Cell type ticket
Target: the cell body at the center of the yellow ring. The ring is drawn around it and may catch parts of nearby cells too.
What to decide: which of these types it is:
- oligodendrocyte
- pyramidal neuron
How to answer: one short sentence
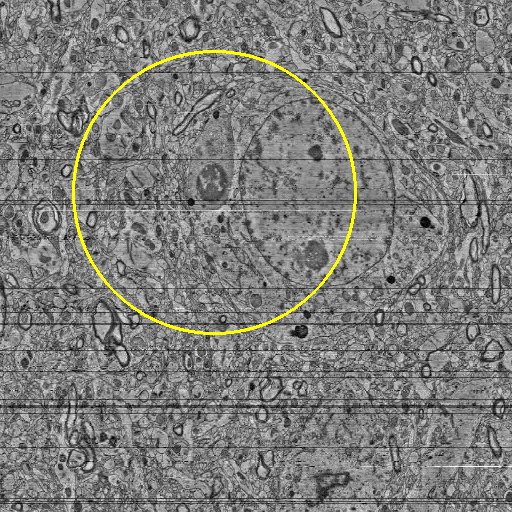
The cell at the center of the ring is an oligodendrocyte.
